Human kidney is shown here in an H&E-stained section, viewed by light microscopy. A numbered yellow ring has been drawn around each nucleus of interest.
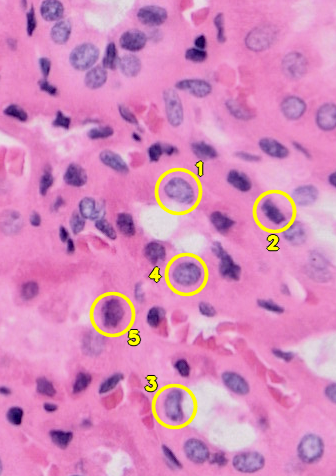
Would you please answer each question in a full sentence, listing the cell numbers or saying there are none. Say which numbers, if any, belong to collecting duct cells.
Cell 2 is a collecting duct cell, and this holds for no other numbered cell.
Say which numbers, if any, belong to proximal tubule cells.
Of those with numbers, only cell 5 is a proximal tubule cell.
